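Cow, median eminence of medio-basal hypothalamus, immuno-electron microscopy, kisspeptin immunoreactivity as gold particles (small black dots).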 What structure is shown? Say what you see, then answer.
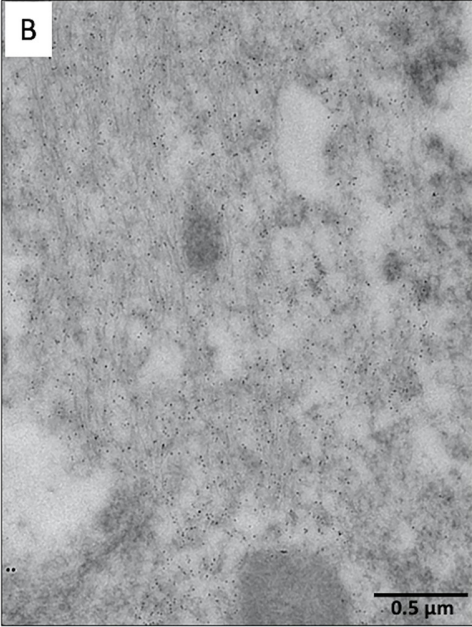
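No nucleus or membrane-bound organelle-rich cell body is seen.
Hence: axon fiber projection.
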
